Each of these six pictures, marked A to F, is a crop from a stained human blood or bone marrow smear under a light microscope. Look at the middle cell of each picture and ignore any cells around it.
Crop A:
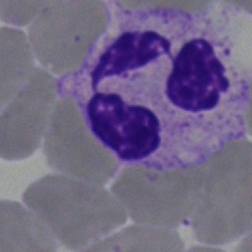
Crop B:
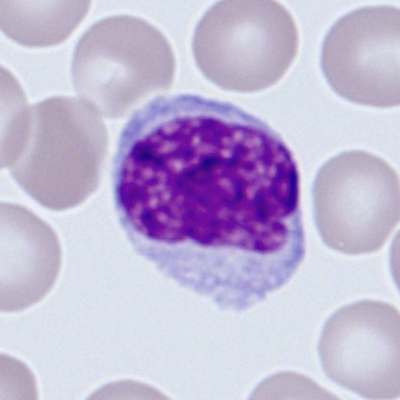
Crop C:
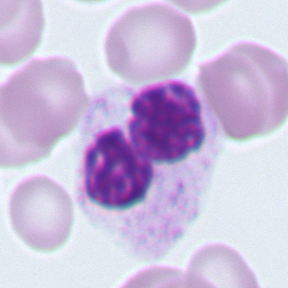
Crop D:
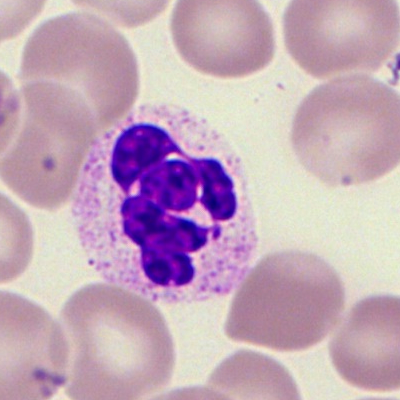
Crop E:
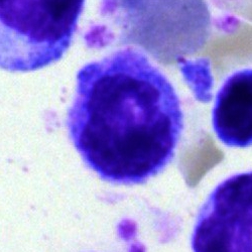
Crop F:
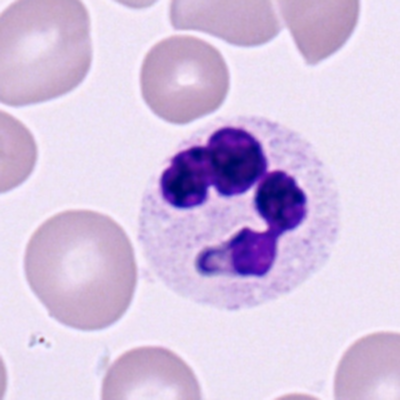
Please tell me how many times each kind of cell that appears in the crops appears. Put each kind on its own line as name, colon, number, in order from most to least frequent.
segmented neutrophil: 4
monocyte: 2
